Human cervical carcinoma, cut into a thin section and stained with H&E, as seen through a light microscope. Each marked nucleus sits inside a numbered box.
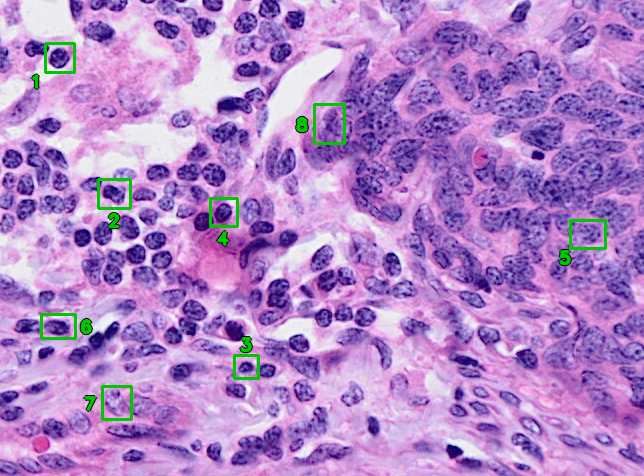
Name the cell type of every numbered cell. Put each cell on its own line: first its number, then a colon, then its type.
1: lymphocyte
2: lymphocyte
3: lymphocyte
4: lymphocyte
5: squamous carcinoma cell
6: lymphocyte
7: endothelial cell
8: squamous carcinoma cell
